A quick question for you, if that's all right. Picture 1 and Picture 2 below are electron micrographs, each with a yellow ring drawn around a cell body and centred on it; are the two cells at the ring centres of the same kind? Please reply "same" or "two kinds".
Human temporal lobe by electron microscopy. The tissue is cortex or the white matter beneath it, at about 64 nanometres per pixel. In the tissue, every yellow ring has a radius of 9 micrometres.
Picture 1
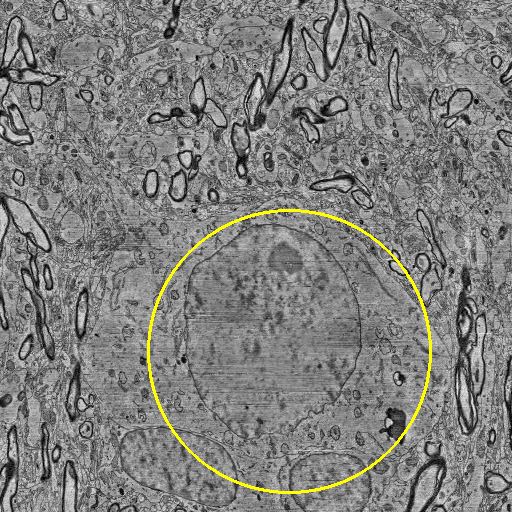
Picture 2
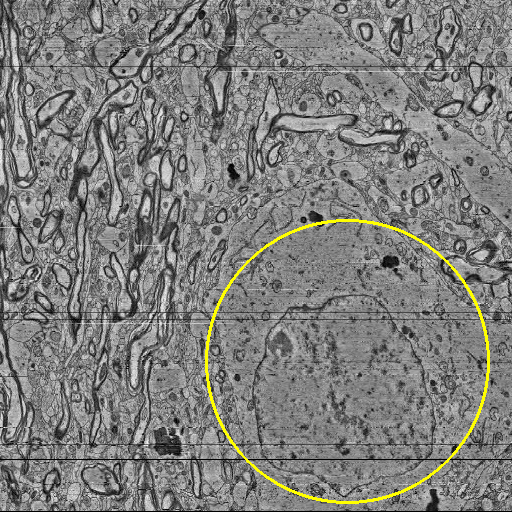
same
